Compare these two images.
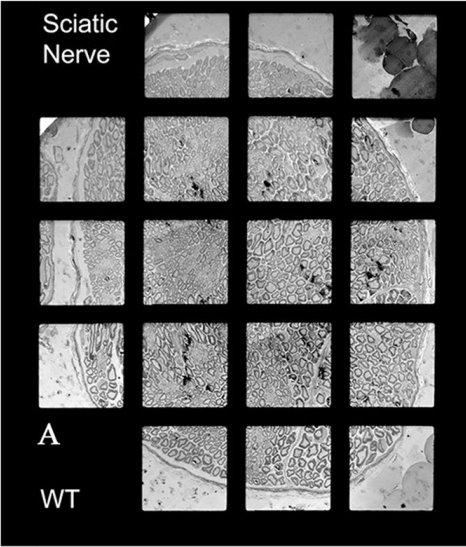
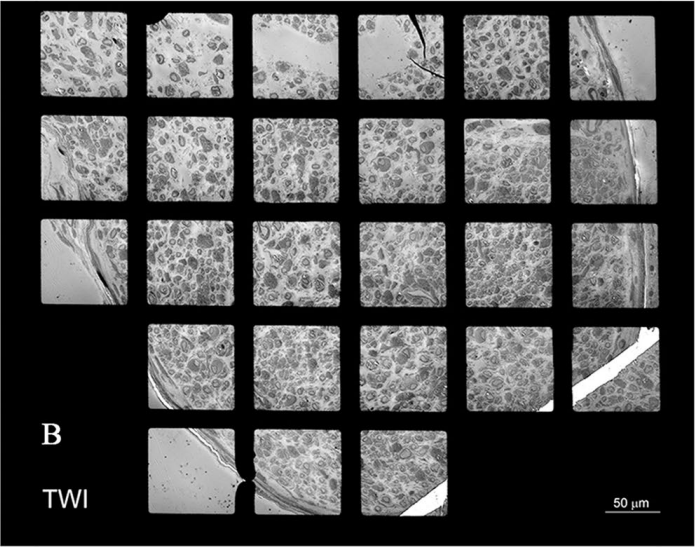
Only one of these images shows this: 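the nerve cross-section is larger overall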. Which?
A: the second image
